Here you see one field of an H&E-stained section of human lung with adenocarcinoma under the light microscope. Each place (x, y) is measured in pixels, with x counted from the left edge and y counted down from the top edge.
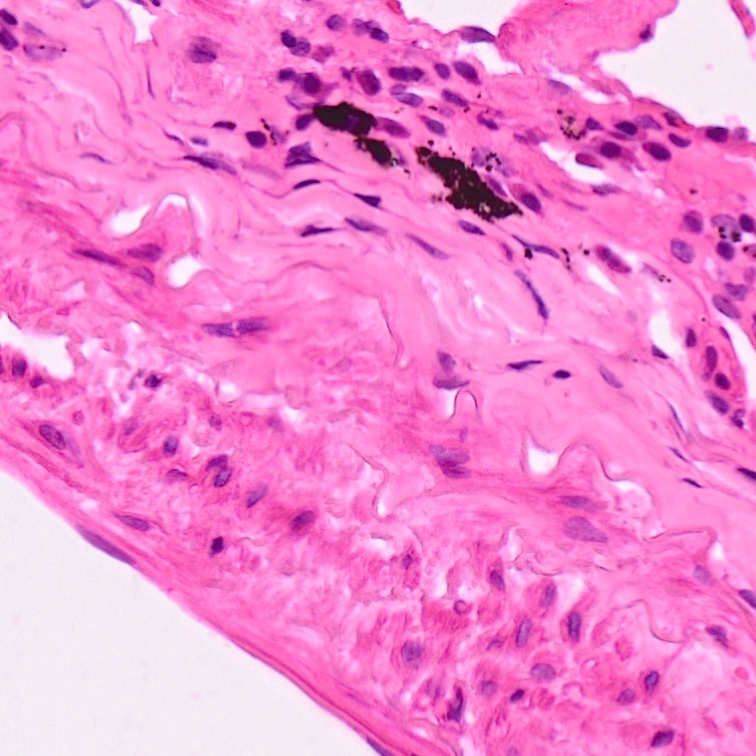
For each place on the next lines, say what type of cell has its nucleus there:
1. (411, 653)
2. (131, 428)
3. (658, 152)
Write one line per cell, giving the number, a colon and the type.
1: smooth muscle cell or pericyte
2: smooth muscle cell or pericyte
3: plasma cell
